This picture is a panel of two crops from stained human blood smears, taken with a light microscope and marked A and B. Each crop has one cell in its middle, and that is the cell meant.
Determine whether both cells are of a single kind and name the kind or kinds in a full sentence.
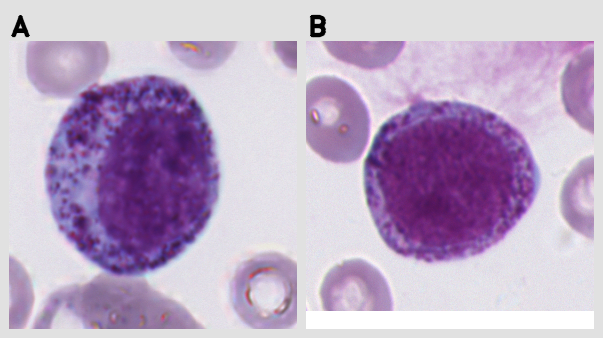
Yes, the two crops share the same answer, promyelocytes.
